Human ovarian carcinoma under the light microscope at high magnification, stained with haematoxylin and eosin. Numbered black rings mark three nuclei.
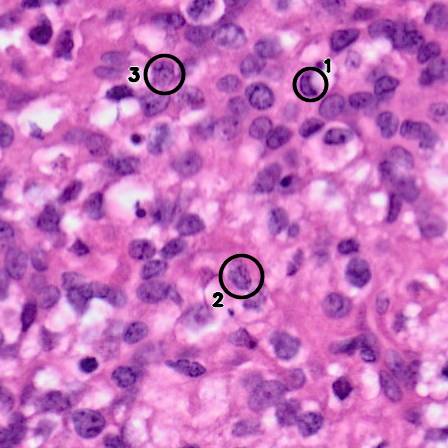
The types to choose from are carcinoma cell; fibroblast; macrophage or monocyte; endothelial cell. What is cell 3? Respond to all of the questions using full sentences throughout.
The mark numbered 3 indicates the nucleus of a carcinoma cell.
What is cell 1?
Regarding cell 1, this one is a macrophage or monocyte.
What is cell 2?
Belonging to a macrophage or monocyte is the nucleus that carries the number 2.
